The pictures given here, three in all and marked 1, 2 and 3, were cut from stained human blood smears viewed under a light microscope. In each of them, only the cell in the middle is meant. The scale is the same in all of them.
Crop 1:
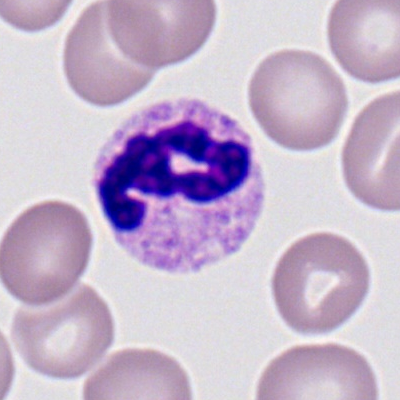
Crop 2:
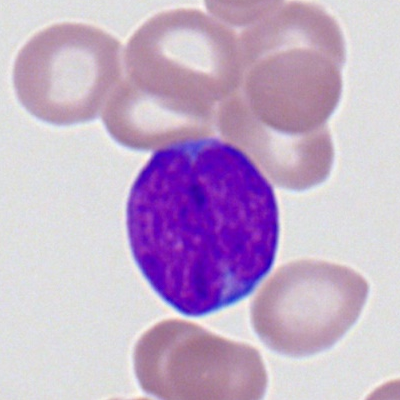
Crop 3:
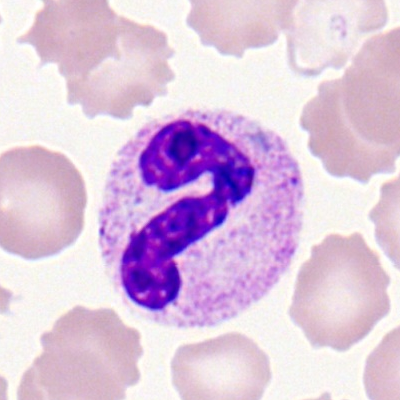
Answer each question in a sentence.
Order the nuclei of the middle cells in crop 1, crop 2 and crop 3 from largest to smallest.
The order is 2, 3, 1, beginning with the largest.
